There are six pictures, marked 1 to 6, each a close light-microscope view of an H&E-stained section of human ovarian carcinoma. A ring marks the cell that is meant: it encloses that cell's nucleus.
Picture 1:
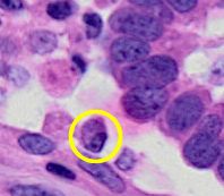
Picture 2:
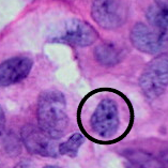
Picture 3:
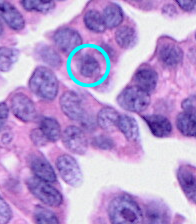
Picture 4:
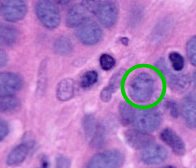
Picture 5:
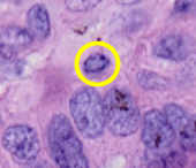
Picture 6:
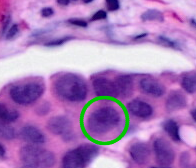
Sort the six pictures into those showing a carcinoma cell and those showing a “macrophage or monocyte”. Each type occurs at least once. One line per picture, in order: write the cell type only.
macrophage or monocyte
macrophage or monocyte
carcinoma cell
carcinoma cell
macrophage or monocyte
carcinoma cell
